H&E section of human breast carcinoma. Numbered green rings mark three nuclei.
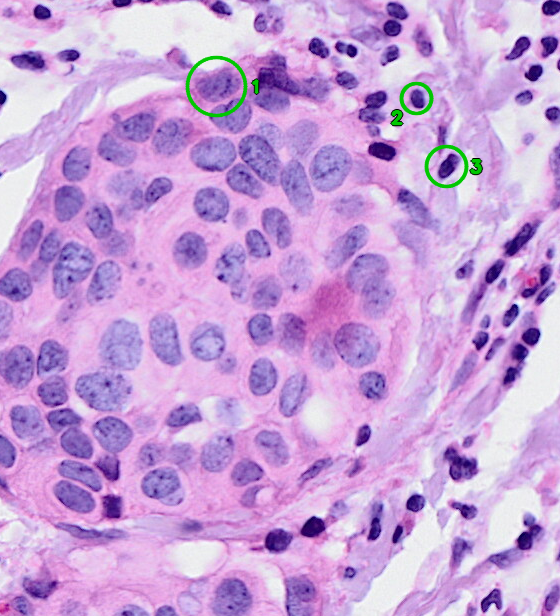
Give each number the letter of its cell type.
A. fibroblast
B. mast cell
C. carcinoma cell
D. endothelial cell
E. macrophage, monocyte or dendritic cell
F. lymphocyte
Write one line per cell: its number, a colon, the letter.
1: C
2: F
3: F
